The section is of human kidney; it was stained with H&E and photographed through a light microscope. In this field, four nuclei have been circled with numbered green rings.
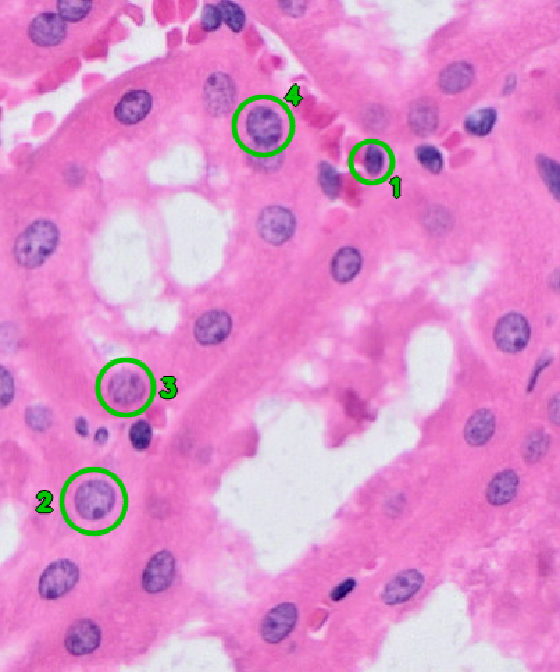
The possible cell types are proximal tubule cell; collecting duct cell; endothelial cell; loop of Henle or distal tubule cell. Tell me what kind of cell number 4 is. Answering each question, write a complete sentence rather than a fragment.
Classified as a proximal tubule cell is the cell with the number 4.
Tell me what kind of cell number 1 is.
The cell bearing label 1 corresponds to an endothelial cell.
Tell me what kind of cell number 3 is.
The one numbered 3 among the marked cells is a proximal tubule cell.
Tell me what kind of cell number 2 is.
The cell marked with the number 2 is a proximal tubule cell.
